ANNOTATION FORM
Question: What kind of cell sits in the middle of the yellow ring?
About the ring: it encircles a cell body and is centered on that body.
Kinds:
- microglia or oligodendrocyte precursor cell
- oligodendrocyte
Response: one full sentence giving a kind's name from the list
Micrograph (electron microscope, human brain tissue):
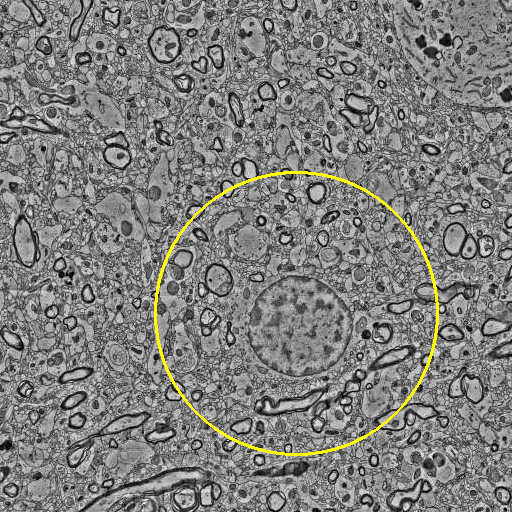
The kind of cell found at the center of the yellow ring in the micrograph is an oligodendrocyte.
